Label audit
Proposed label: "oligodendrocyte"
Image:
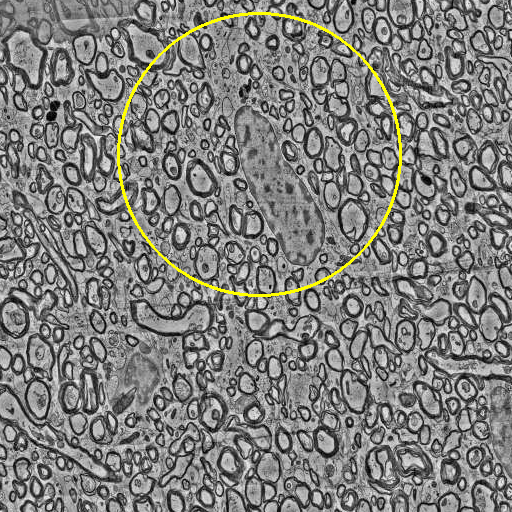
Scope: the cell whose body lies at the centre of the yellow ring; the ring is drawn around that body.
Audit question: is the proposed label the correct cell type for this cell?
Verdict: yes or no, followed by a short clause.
No, this cell is of another type.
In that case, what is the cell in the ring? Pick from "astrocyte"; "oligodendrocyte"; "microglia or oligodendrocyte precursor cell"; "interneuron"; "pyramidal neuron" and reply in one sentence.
The correct answer is that the cell is a microglial cell or oligodendrocyte precursor cell.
